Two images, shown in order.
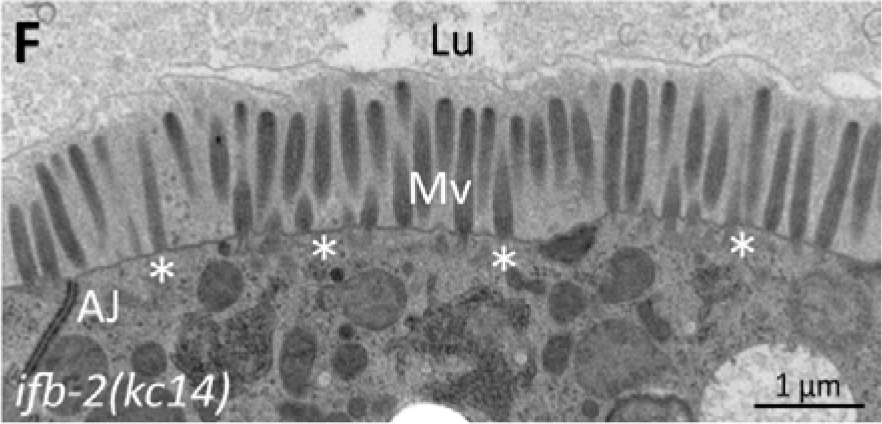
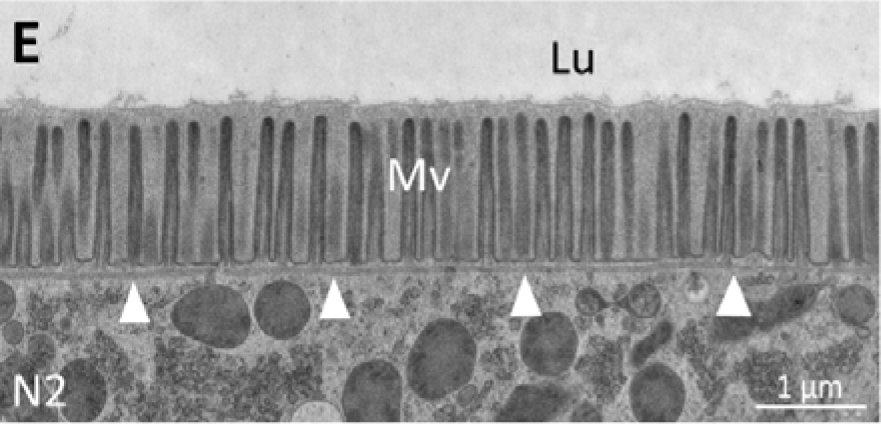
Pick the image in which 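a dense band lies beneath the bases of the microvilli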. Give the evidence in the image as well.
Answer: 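First image: the cytoplasm directly below the microvillar bases shows no distinct dense band. Second image: a continuous dense band runs beneath the microvillar bases along the whole cell apex. So: the second image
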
